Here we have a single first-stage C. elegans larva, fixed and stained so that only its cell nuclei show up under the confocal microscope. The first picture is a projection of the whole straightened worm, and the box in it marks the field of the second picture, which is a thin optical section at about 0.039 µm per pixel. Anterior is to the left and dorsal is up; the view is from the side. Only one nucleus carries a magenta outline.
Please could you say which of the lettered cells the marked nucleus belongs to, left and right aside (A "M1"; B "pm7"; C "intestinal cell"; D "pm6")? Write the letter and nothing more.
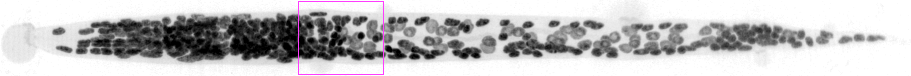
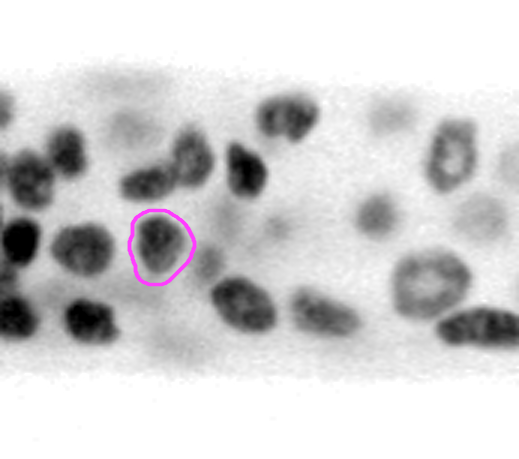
B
